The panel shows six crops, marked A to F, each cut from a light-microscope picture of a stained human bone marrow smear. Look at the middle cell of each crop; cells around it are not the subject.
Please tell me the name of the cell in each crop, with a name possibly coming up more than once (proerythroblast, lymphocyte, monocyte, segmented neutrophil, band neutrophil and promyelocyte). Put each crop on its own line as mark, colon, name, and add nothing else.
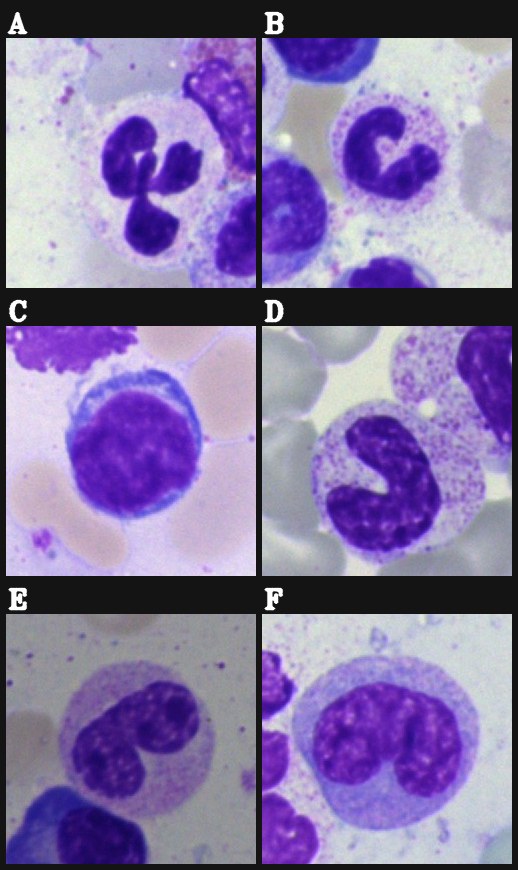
A: segmented neutrophil
B: segmented neutrophil
C: lymphocyte
D: band neutrophil
E: band neutrophil
F: monocyte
